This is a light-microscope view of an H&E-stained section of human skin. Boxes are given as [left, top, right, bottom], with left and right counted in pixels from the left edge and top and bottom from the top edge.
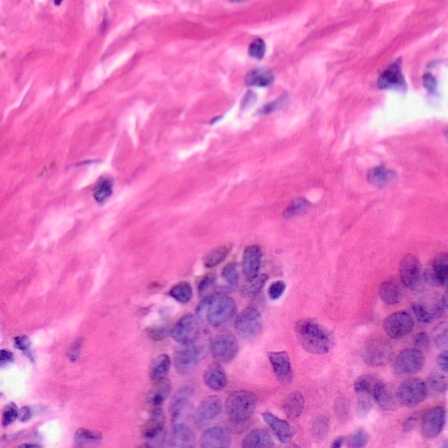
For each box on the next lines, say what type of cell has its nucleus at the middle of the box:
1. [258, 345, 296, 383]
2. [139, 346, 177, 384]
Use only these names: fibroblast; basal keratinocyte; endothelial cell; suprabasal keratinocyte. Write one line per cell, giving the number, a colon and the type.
1: fibroblast
2: basal keratinocyte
